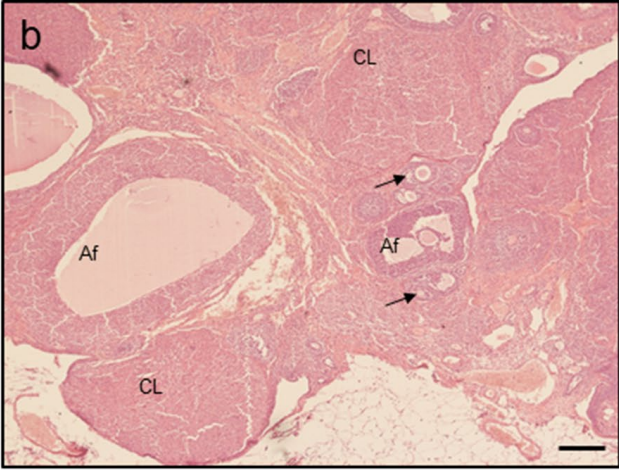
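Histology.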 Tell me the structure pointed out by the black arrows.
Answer: Preantral follicle.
